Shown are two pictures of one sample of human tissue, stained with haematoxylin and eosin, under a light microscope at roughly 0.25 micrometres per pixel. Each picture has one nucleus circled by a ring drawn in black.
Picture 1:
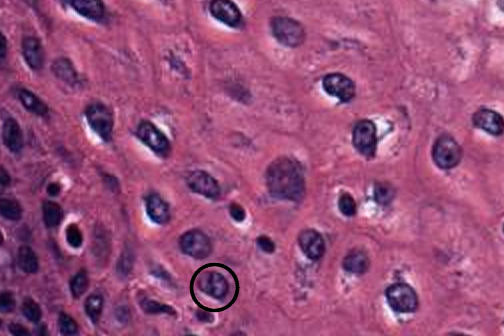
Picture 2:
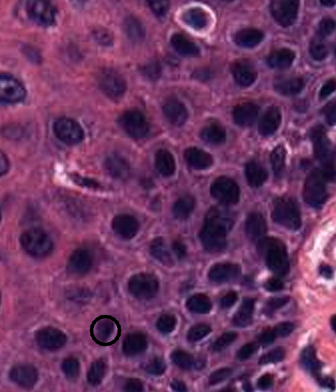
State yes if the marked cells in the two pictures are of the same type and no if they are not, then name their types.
Yes, both are squamous epithelial cells.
